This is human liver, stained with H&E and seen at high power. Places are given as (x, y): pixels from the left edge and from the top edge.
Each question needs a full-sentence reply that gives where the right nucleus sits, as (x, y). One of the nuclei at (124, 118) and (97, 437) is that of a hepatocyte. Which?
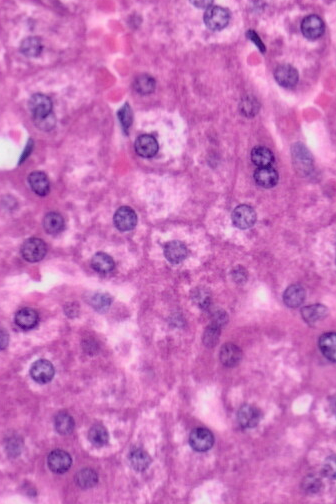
In this pair, the nucleus at (97, 437) belongs to a hepatocyte.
